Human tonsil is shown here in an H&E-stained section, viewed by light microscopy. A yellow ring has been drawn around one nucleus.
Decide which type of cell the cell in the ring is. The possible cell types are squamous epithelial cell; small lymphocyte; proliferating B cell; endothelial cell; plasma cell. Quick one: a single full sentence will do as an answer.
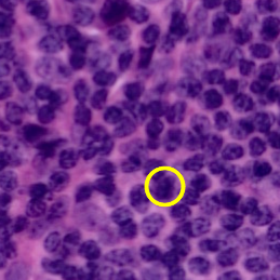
Considered by cell type, the cell in the ring is a small lymphocyte.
